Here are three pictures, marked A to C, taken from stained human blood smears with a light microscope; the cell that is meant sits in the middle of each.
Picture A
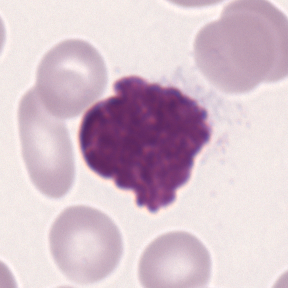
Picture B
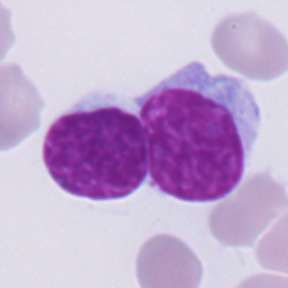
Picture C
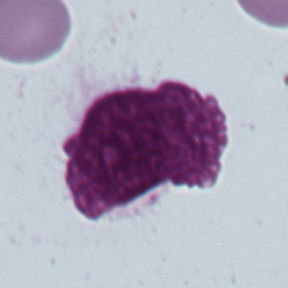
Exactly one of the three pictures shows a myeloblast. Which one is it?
B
